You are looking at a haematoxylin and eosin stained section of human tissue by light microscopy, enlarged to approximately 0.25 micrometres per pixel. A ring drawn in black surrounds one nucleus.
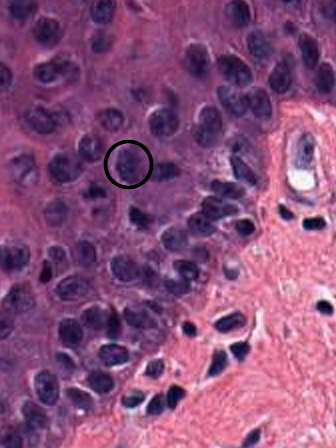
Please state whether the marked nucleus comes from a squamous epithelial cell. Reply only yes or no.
yes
